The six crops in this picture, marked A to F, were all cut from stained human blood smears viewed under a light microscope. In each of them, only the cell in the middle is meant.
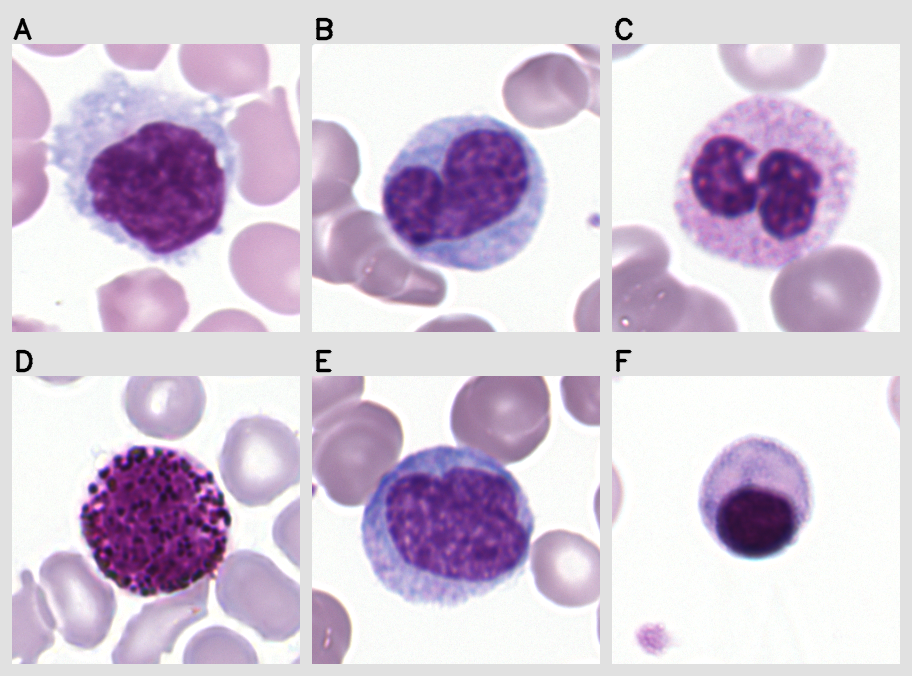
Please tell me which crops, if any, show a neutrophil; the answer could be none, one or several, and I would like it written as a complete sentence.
Crop C shows a neutrophil, and no other crop does.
